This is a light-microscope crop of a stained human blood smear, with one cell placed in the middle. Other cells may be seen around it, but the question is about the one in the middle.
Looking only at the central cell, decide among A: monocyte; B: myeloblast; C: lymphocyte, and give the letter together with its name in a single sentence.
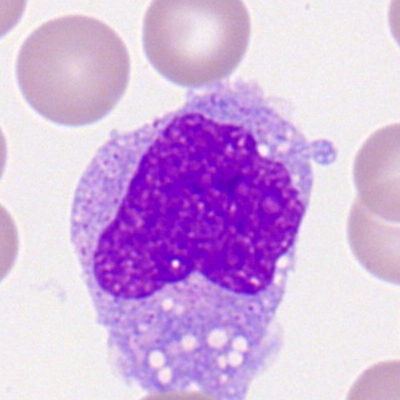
Option A holds up: the cell in the middle is a monocyte.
